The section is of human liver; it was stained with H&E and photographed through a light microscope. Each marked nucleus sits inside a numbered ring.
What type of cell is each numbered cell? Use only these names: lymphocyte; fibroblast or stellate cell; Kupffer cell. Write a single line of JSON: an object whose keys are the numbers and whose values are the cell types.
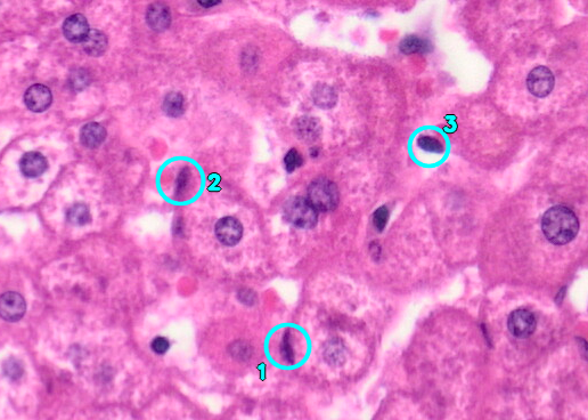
{"1": "fibroblast or stellate cell", "2": "Kupffer cell", "3": "lymphocyte"}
